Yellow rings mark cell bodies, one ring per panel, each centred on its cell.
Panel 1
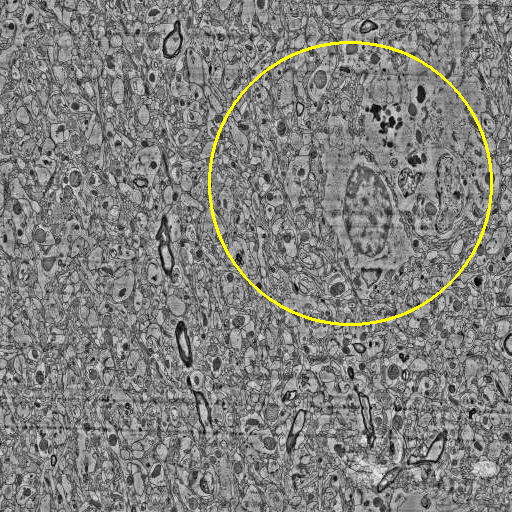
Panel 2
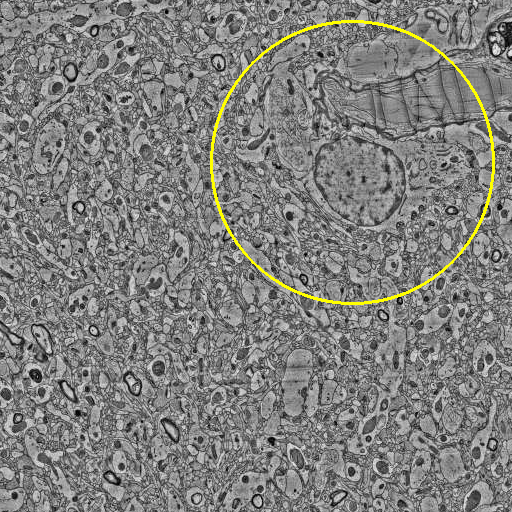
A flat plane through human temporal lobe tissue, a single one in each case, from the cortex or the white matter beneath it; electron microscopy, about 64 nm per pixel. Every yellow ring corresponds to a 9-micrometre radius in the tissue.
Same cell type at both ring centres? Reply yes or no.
no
